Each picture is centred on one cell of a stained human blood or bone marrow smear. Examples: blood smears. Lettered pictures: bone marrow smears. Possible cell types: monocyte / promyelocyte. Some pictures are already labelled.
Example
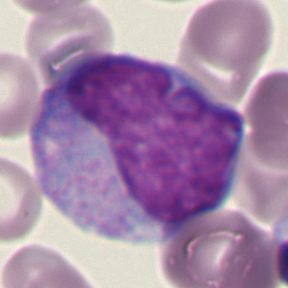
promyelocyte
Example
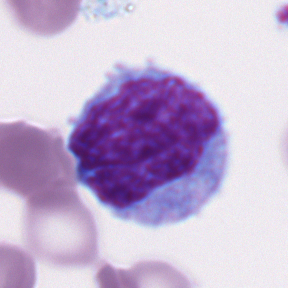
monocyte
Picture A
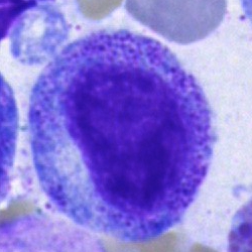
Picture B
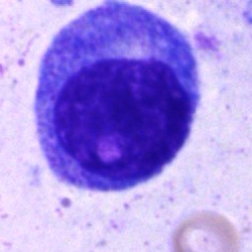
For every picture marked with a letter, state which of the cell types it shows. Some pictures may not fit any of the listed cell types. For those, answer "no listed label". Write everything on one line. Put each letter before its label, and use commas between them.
A promyelocyte, B promyelocyte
